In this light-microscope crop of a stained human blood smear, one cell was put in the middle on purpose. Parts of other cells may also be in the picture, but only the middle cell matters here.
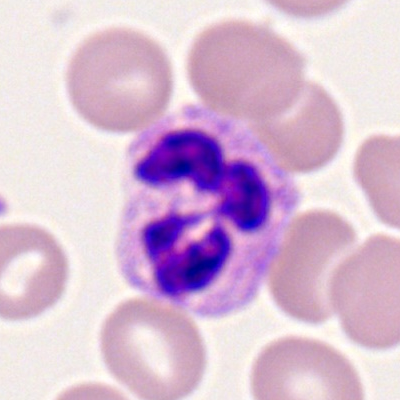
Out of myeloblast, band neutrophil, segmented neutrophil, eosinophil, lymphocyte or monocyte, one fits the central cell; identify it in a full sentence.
The central cell, amid any neighbouring cells, is a segmented neutrophil.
